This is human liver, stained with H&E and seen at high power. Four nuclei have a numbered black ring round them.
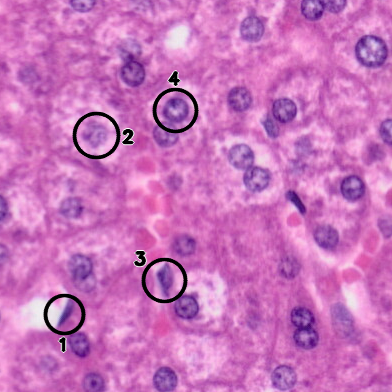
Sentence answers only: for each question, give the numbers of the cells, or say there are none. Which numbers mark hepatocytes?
The cells that the numbers 2 and 4 belong to are hepatocytes.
